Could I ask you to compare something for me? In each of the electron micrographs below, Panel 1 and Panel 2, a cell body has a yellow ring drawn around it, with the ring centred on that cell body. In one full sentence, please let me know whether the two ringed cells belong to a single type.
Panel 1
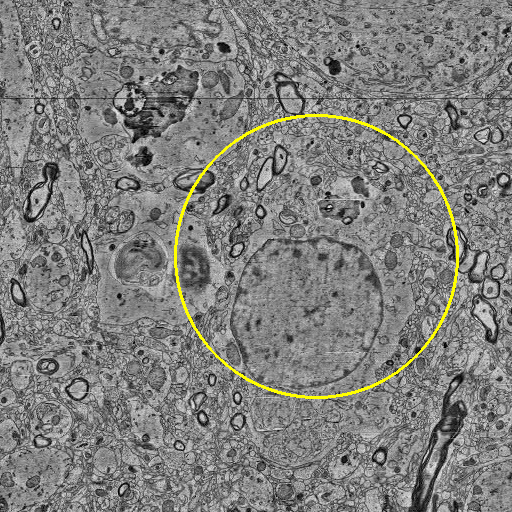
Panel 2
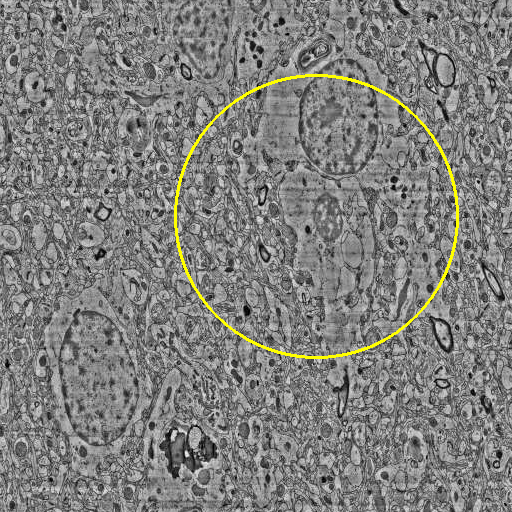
Yes, the two cells at the centres of the rings are of one type.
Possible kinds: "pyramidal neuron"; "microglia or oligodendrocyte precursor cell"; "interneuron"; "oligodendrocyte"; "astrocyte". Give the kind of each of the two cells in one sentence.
Both the first and the second picture show an astrocyte in the ring.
